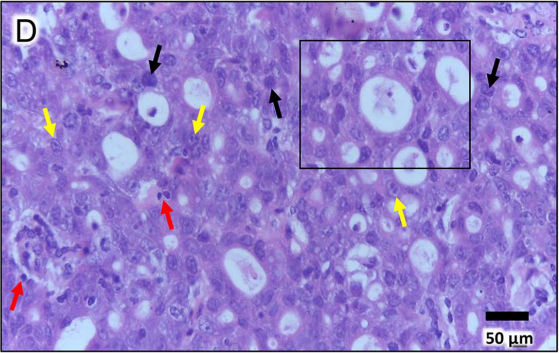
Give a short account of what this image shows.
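This is a crowded sheet of epithelial tumour cells with pink cytoplasm, interrupted by many round clear spaces of differing size, some holding pale material. The nuclei are large and vary greatly. Some are very dark and hyperchromatic. Others are pale, with a prominent nucleolus. A few are small, shrunken and densely dark, in keeping with pyknosis.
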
